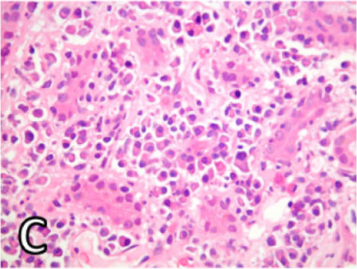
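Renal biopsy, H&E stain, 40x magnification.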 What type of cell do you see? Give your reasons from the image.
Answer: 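Plasma cell. Many round cells with eccentric round nuclei. Cells have ample purple-pink cytoplasm. The cells lie densely packed between pink tubular profiles.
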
